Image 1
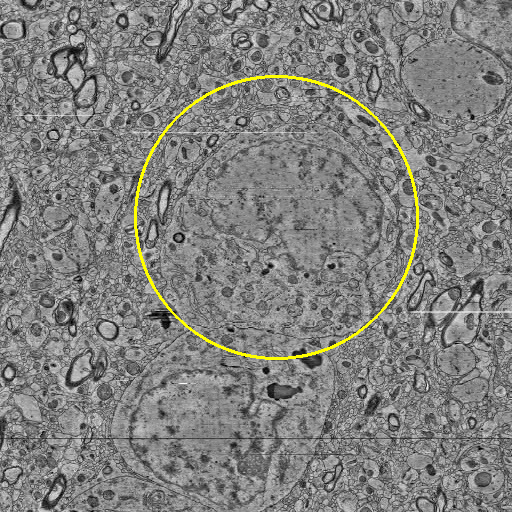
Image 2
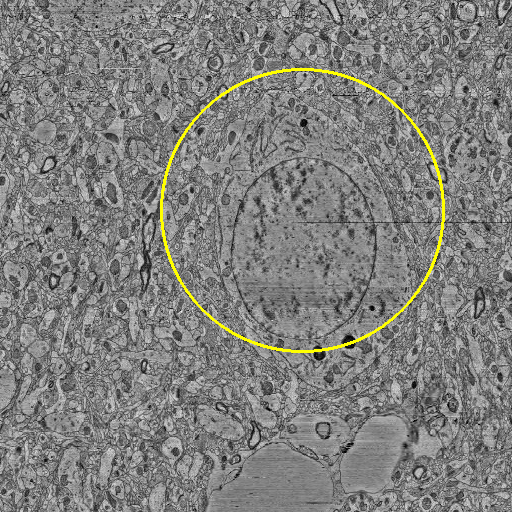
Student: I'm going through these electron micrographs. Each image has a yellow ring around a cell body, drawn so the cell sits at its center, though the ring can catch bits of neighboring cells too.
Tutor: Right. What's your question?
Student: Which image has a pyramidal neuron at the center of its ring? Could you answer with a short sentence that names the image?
Image 2 shows it at the center of its ring.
